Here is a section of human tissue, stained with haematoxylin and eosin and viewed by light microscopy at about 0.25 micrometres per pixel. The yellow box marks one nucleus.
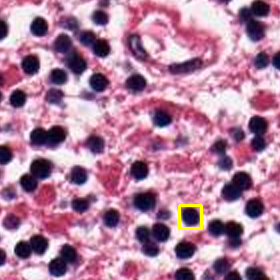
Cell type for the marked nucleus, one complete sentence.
The cell that the marked nucleus belongs to is a cerebellar granule cell.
